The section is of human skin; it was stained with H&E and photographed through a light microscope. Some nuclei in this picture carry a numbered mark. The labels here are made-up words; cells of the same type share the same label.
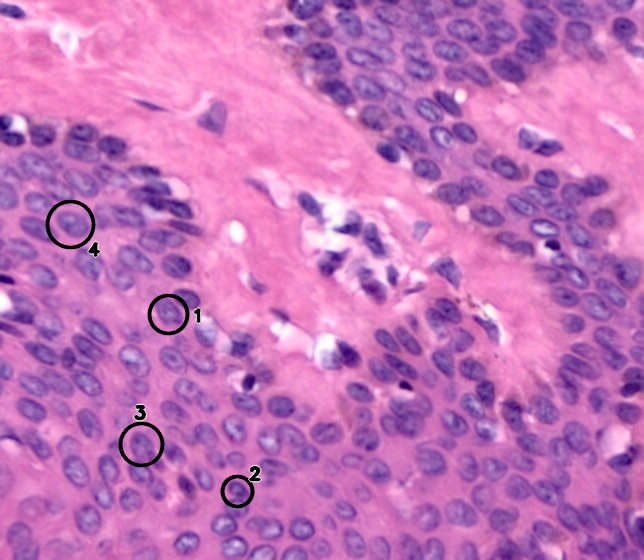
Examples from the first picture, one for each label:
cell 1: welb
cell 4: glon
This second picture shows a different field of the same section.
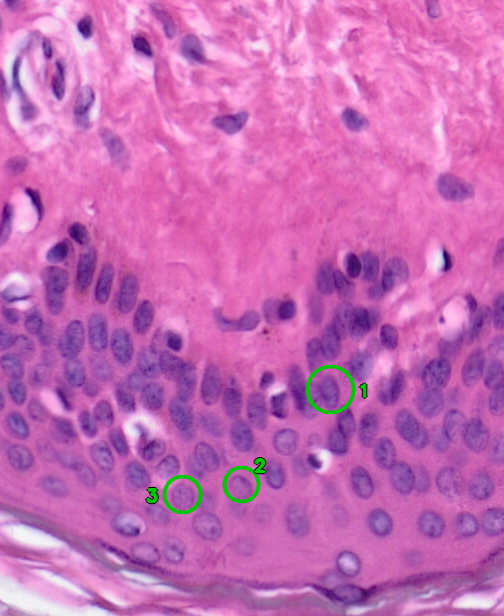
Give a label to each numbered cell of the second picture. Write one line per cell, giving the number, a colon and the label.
1: welb
2: glon
3: glon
